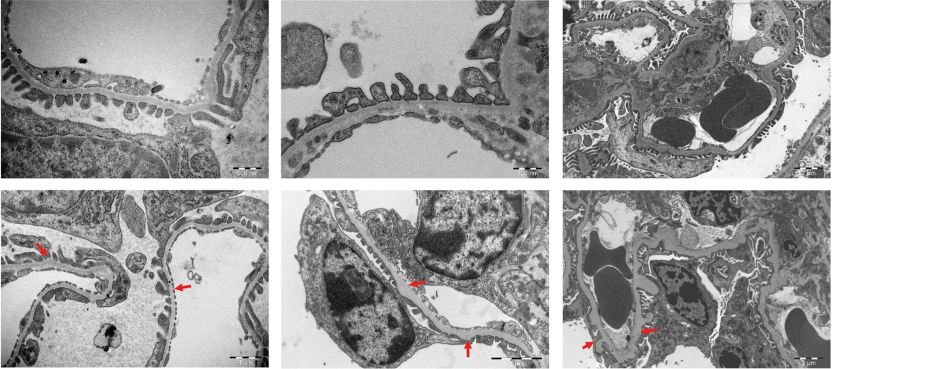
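Electron micrographs of glomerular capillary walls. Open capillary lumens are lined by thin endothelium. A grey basement membrane band runs beneath it. On the urinary side, podocyte foot processes sit in a regular row along the membrane. In some views, nuclei of glomerular cells with dense chromatin lie beside the capillary wall. Red blood cells appear as dark, smooth oval bodies inside capillaries. In the lower row, red arrows mark stretches of the basement membrane. Here the band looks uneven or thickened, and the foot processes above it are broader and less regularly spaced.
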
